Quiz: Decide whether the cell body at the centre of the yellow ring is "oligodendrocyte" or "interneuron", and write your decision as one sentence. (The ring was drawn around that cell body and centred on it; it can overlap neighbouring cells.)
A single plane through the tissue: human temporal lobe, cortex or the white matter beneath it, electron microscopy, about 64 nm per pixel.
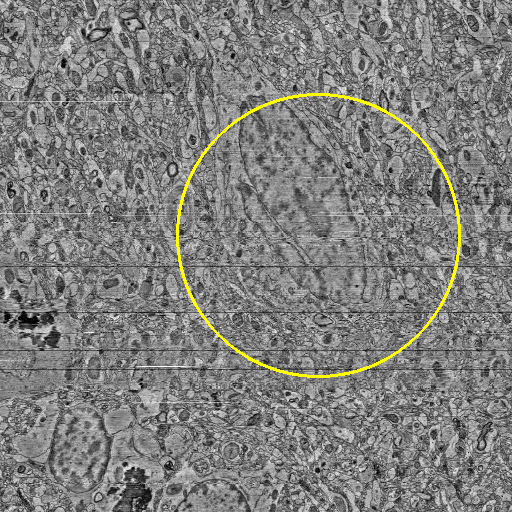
The cell the ring is centred on is an interneuron.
